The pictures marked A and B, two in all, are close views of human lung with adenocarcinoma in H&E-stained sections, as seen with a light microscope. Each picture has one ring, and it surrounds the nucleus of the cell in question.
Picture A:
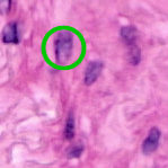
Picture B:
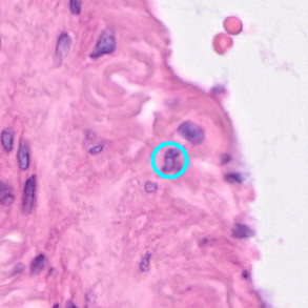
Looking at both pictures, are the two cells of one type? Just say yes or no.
yes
